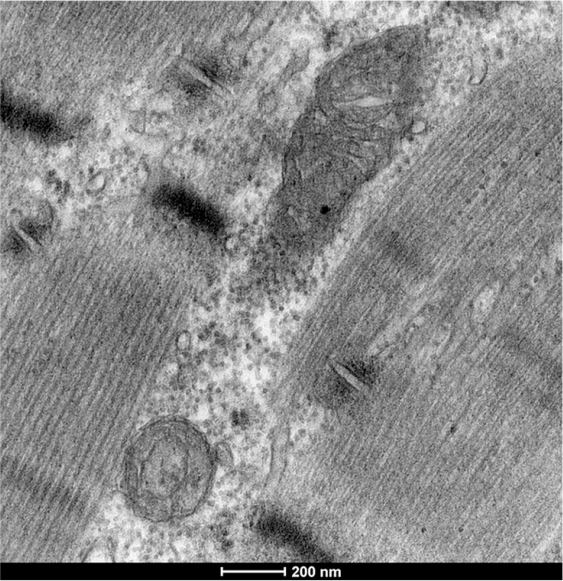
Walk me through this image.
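This is skeletal muscle seen at high magnification, showing the inside of a muscle fibre. Broad myofibrils run diagonally across the field, made of fine, parallel myofilaments, with short dark bars marking the Z-lines. Between two myofibrils lies a lighter strip of cytoplasm studded with small dark granules and little vesicles. In this strip sit mitochondria: one elongated oval near the top and one rounded profile near the bottom. Both have a fairly dense matrix crossed by many well-preserved cristae, enclosed by an intact outer membrane. Nothing here looks swollen or emptied out.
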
